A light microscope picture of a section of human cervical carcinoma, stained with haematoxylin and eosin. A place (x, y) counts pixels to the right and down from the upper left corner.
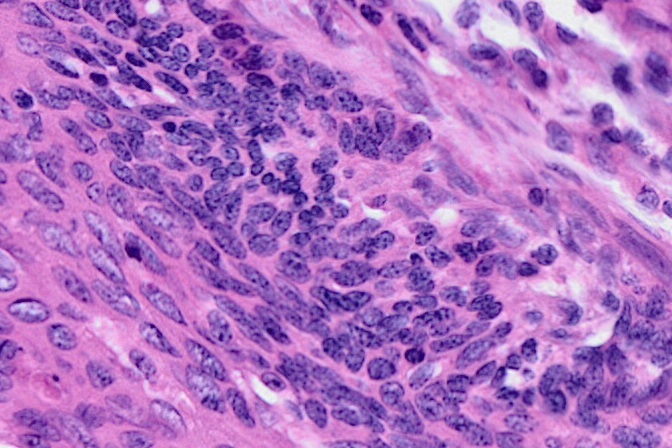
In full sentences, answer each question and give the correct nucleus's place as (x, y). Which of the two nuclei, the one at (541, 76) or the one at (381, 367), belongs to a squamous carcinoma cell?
The cell to which the nucleus at (381, 367) belongs is a squamous carcinoma cell.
